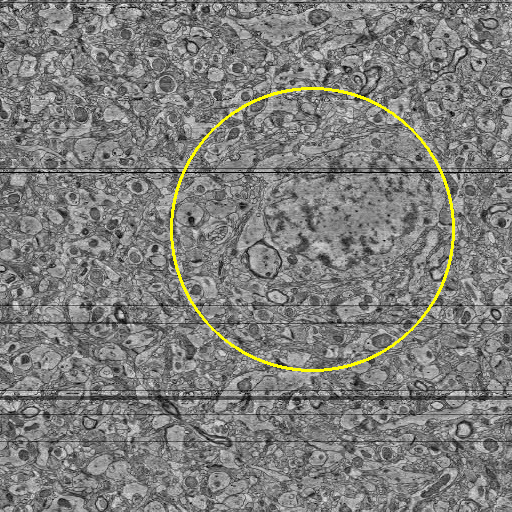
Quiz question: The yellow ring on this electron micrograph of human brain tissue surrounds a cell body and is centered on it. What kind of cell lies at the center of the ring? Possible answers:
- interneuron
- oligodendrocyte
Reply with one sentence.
The ring's center lies on an interneuron.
